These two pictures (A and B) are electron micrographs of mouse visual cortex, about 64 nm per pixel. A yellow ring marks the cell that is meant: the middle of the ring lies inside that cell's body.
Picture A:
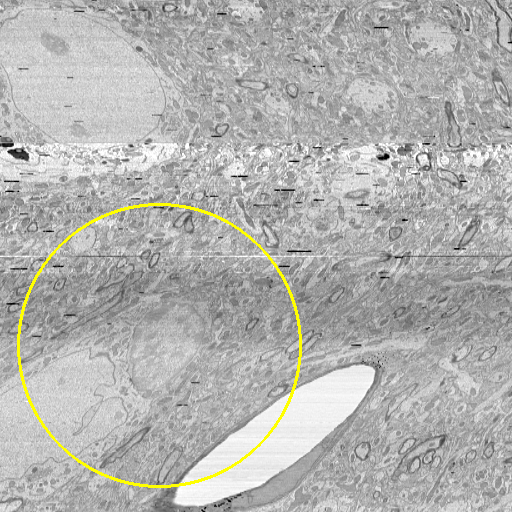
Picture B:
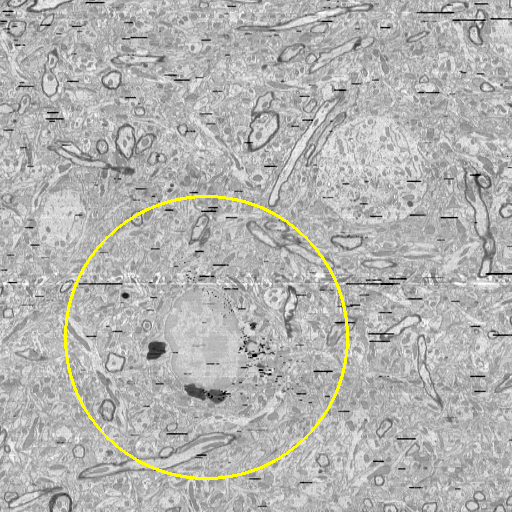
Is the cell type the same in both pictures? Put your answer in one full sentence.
No; the cell in picture A is an oligodendrocyte, while the one in picture B is a microglial cell.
